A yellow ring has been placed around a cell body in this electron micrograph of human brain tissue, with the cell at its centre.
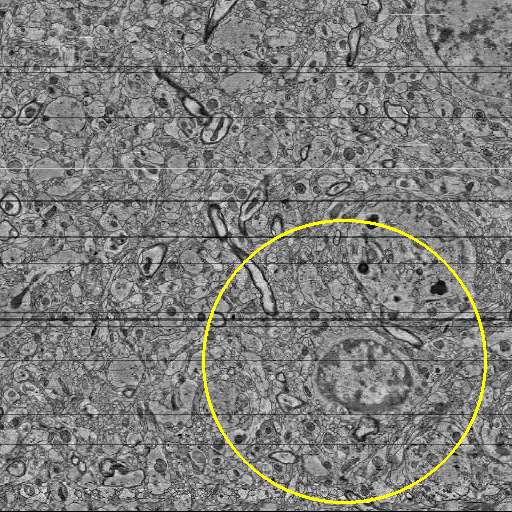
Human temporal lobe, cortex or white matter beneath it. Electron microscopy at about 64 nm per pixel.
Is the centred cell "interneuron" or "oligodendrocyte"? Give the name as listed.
oligodendrocyte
